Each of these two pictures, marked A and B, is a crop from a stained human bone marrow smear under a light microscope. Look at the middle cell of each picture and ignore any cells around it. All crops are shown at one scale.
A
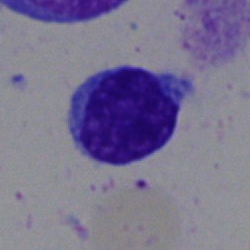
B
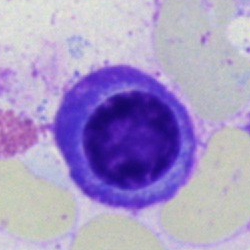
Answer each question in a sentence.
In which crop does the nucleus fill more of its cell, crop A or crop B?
Of the two, the nucleus in crop A makes up the greater part of its cell.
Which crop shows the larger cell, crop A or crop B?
It is the cell in crop B, about 1.5 times as large in area as the cell in crop A.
